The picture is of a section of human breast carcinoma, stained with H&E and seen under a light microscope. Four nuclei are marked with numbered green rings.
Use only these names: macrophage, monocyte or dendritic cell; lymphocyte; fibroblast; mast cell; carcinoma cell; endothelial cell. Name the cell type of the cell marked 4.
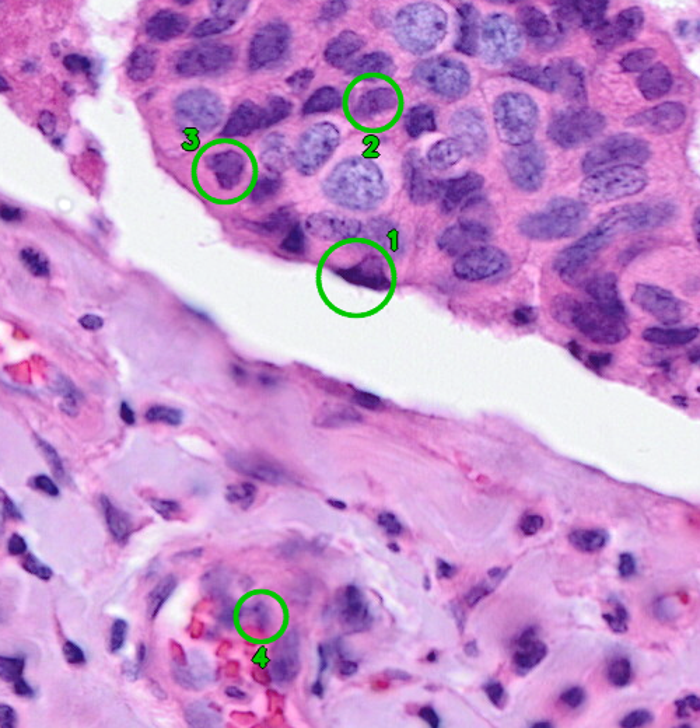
endothelial cell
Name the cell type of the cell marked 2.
carcinoma cell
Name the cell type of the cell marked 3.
carcinoma cell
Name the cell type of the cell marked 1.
carcinoma cell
